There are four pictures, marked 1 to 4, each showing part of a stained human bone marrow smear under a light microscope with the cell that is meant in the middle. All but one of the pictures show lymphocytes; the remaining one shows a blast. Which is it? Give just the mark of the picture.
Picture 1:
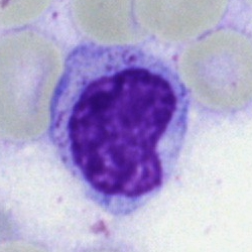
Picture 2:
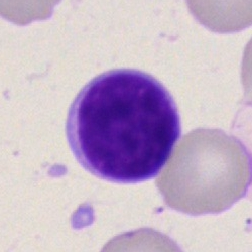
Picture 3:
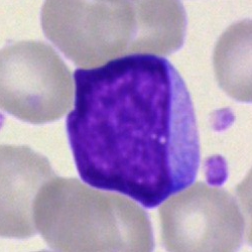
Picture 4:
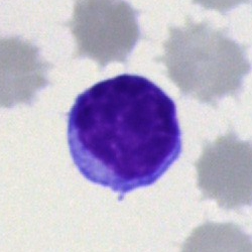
3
